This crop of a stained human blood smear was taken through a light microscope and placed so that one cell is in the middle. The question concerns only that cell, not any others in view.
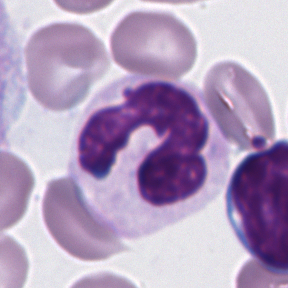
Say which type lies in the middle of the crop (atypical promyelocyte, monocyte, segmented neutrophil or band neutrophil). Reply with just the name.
band neutrophil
